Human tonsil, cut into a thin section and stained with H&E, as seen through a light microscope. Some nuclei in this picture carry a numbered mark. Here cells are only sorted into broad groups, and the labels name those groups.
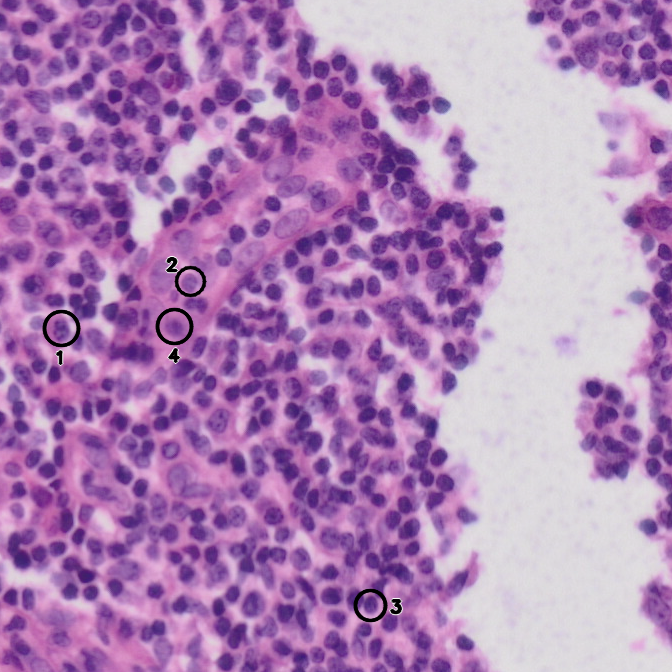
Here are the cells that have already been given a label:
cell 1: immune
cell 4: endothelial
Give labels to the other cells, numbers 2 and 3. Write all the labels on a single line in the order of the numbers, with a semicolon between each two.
endothelial; immune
